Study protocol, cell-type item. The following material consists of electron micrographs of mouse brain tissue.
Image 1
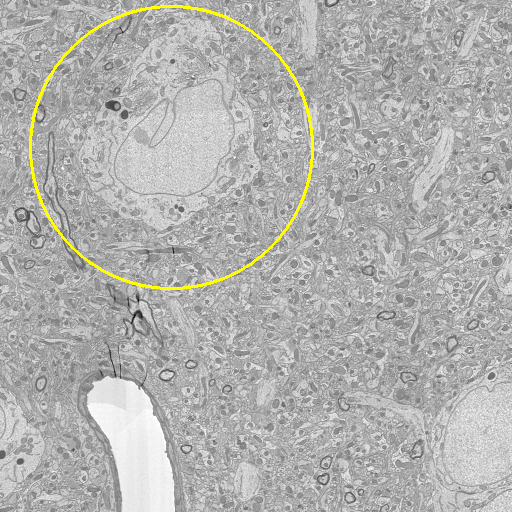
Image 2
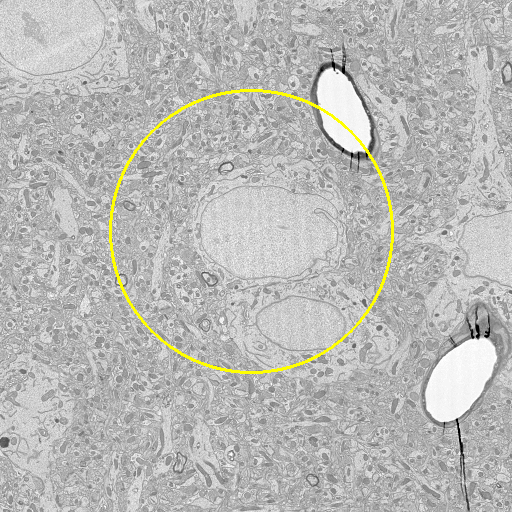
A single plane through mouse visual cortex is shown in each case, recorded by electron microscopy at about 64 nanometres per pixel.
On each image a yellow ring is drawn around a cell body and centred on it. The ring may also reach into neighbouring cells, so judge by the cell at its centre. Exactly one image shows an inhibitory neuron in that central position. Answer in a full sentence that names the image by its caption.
The cell at the centre of the ring in Image 2 is of that kind.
